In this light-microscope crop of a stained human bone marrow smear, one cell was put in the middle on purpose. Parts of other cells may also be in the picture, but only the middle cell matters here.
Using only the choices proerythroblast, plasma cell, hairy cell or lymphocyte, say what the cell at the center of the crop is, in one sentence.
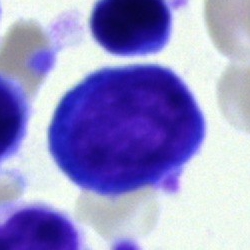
This crop is built around a proerythroblast at its centre.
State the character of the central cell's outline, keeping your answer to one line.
In short, the margin is smooth with no projections at all.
